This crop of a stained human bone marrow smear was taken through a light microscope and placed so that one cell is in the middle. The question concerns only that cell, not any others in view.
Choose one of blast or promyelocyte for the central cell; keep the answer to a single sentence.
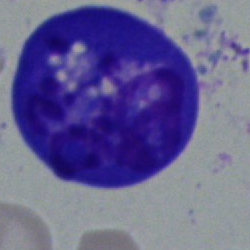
Whatever else lies nearby, the middle cell is a blast.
